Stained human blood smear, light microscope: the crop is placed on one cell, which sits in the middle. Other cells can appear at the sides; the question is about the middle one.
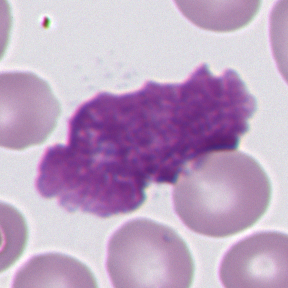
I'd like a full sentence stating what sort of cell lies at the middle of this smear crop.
In this smear crop, the middle cell is a smudge cell.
